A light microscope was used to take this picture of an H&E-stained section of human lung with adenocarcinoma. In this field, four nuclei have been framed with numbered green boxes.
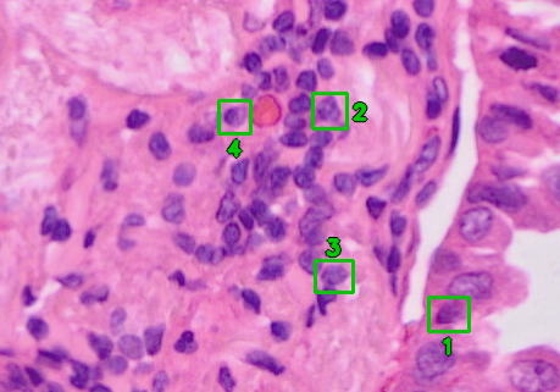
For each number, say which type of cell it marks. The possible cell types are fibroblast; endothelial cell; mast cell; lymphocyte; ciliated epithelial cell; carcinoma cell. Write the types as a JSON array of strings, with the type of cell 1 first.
["carcinoma cell", "lymphocyte", "lymphocyte", "lymphocyte"]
